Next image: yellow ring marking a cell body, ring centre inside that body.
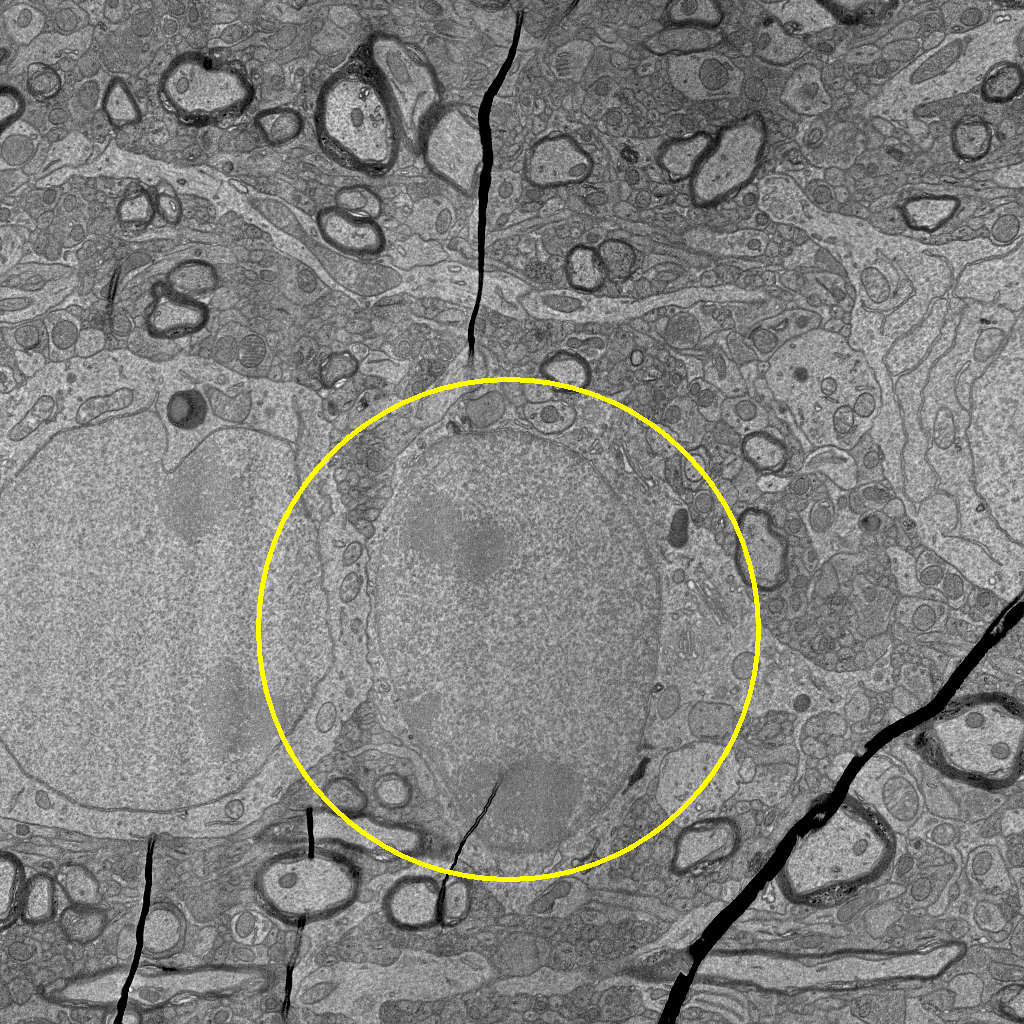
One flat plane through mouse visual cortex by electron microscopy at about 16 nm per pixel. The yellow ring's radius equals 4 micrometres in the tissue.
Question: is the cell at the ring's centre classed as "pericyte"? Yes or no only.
no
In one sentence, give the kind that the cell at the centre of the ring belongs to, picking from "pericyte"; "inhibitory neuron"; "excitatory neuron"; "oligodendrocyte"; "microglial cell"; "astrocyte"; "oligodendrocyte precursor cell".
Instead, the cell inside the ring is an astrocyte.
